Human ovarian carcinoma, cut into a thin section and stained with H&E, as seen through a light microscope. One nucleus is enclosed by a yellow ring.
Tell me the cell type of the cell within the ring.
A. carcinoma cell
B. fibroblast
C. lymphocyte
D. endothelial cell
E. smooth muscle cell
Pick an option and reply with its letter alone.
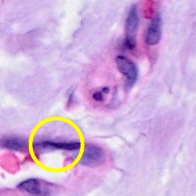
D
